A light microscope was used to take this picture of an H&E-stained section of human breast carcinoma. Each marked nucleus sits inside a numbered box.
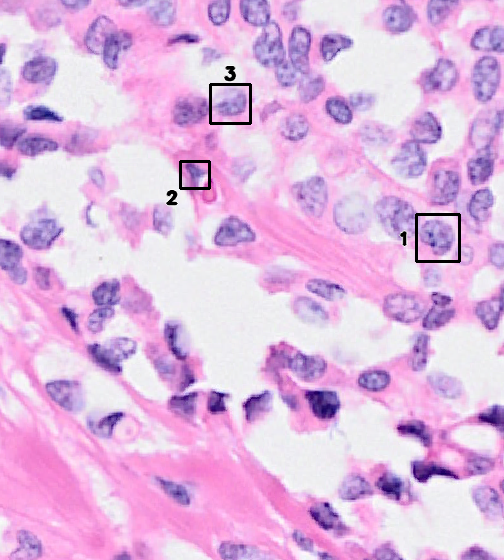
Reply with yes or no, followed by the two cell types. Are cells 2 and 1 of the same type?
No, the cell labelled 2 is an endothelial cell; the cell labelled 1 is a carcinoma cell.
